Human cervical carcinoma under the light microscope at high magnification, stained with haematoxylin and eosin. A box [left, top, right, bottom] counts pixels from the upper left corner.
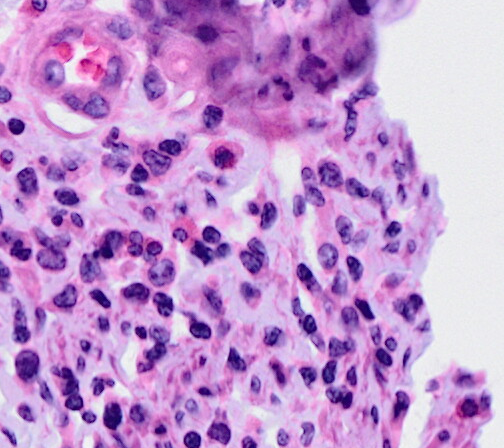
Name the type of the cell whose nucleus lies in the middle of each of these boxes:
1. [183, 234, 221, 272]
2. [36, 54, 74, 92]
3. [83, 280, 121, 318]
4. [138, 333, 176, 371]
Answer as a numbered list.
1. lymphocyte
2. endothelial cell
3. lymphocyte
4. lymphocyte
